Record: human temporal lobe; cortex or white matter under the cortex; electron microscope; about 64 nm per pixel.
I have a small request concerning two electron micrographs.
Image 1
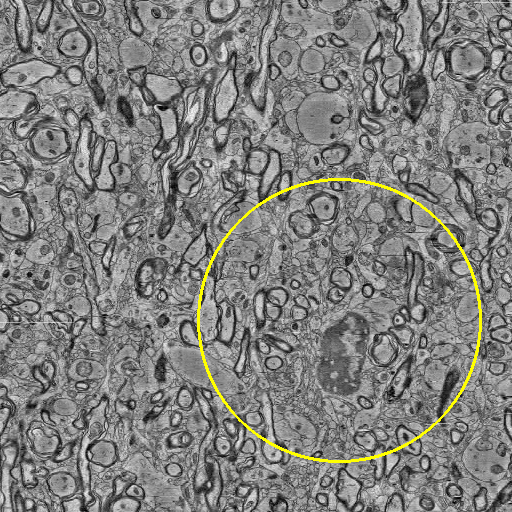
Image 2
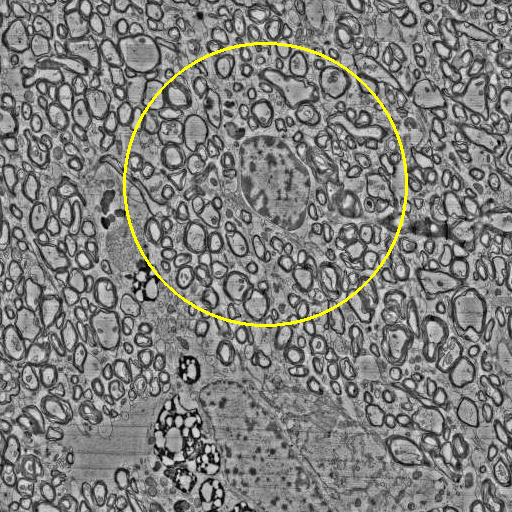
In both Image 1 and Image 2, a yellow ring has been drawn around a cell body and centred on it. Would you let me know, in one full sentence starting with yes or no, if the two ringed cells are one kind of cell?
Yes, the cells ringed in Image 1 and Image 2 are one kind of cell.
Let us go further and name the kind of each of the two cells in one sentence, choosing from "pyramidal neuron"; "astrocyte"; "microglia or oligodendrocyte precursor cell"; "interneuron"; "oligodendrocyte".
Each of the ringed cells, first and second, is a microglial cell or oligodendrocyte precursor cell.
